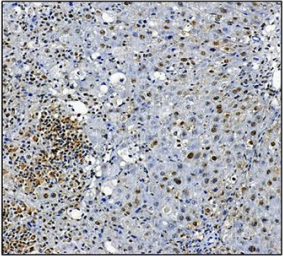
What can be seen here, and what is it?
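This is liver parenchyma in which many hepatocyte nuclei, large and round within polygonal cells, are stained brown. Toward the lower left lies a dense cluster of small cells with brown staining, crowded more tightly than the surrounding hepatocytes. Elsewhere the liver plates show scattered brown and blue nuclei side by side.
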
